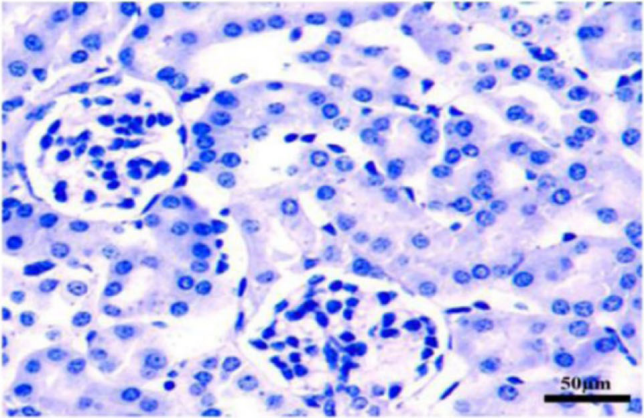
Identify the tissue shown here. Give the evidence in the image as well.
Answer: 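Two round glomerular tufts of densely packed dark blue nuclei lie within a clear capsular space. The rest of the field is packed with tubules lined by cuboidal cells with round nuclei.
Conclusion: renal tissues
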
